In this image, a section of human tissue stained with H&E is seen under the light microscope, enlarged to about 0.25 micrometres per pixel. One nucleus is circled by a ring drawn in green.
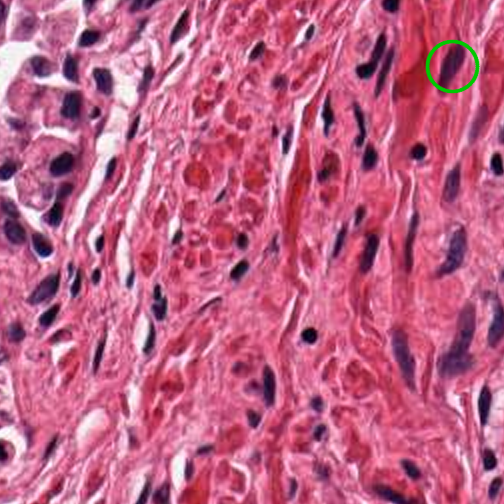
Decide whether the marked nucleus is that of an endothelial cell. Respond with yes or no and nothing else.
no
